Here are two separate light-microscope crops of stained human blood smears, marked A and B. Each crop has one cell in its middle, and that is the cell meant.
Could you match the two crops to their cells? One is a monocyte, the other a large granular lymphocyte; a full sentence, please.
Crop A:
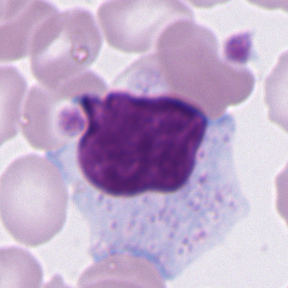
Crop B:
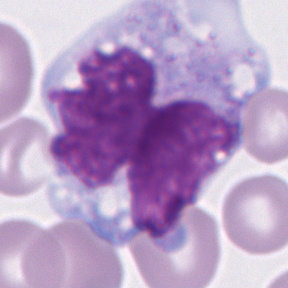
To sum up the two crops, crop A is a large granular lymphocyte and crop B is a monocyte.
